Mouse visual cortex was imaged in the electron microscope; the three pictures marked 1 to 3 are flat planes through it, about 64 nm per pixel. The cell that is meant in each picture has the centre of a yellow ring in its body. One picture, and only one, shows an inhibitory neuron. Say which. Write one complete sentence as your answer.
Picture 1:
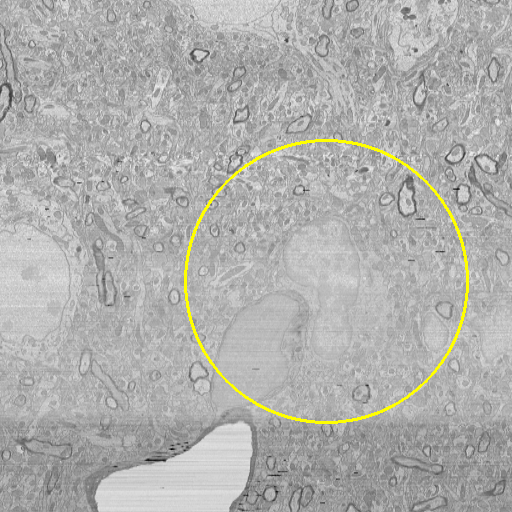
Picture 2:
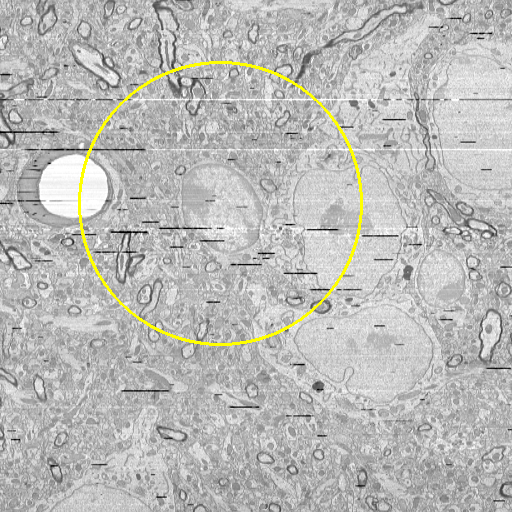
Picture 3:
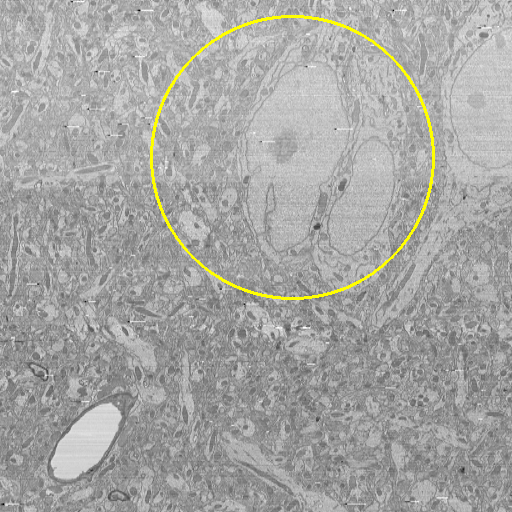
Picture 3 shows the inhibitory neuron.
